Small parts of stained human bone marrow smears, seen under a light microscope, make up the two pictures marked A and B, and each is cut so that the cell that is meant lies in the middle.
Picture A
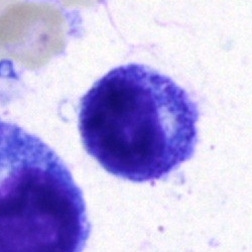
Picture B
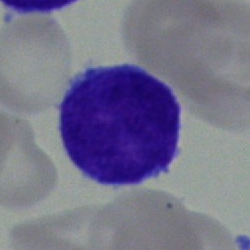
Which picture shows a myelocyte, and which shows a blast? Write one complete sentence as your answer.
Picture B shows a blast, while picture A shows a myelocyte.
